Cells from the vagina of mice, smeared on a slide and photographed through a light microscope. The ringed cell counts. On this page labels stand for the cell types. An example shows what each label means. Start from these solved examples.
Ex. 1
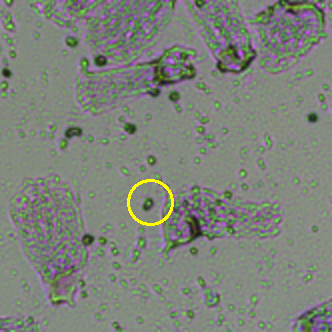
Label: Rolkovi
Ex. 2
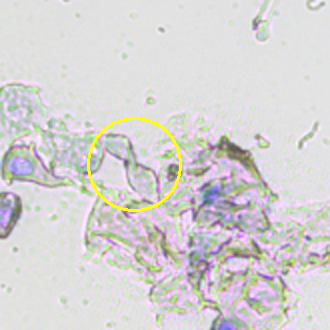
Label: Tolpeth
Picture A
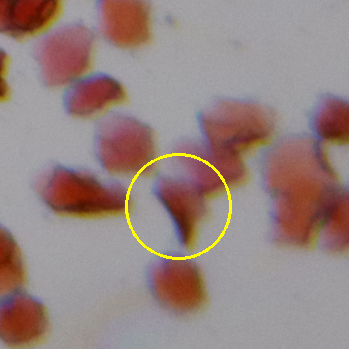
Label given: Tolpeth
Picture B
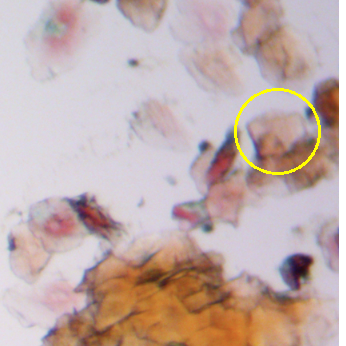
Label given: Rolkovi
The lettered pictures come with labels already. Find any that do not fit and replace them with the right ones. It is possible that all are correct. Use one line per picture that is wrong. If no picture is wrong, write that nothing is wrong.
B: change Rolkovi to Tolpeth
